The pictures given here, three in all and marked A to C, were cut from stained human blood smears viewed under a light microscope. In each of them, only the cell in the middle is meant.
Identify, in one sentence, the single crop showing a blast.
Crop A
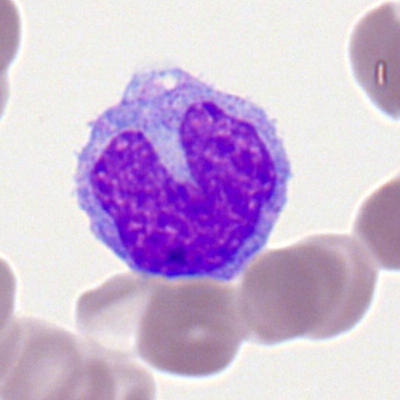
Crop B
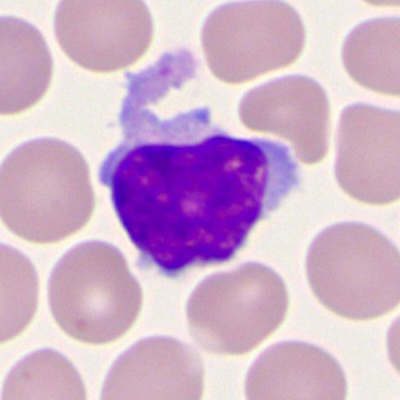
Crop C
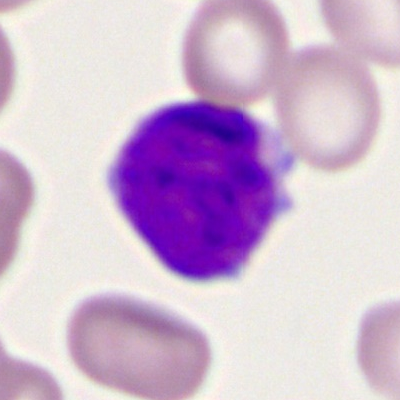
Of all the crops, crop C is the one showing a blast.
